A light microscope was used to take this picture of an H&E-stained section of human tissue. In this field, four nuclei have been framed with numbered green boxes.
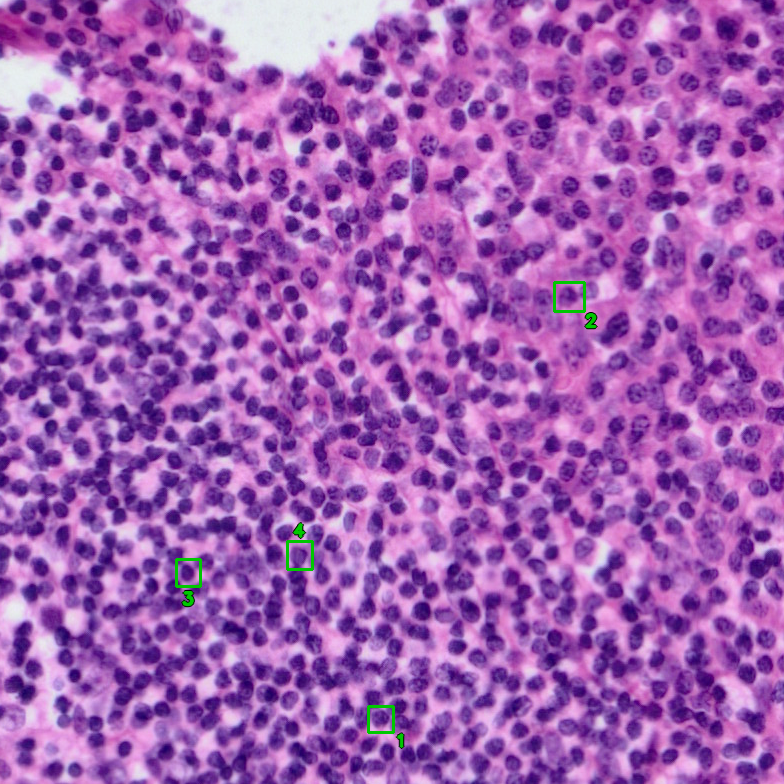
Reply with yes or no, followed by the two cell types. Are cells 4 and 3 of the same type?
Yes, it is true that cells 4 and 3 are both small lymphocytes.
